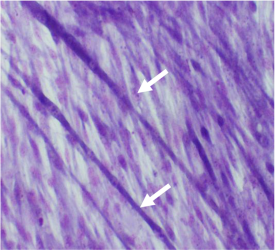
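Muscle culture of densely packed spindle-shaped myoblasts with few thin myotubes, stained purple. The field is crowded with elongated mononucleated cells with oval purple nuclei, aligned in parallel along a diagonal. Scattered among them run narrow, dark purple, thread-like myotubes, much longer than the surrounding cells but only slightly wider than them. Pale gaps of background lie between the aligned cells.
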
